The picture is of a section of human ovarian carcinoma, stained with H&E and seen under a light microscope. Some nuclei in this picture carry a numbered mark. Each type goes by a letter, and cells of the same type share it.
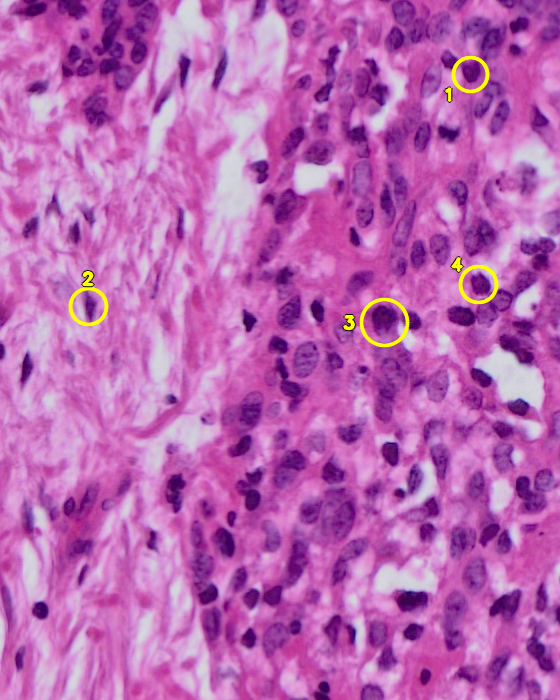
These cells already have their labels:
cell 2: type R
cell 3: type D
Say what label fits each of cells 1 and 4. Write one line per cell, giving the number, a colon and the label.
1: type D
4: type D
